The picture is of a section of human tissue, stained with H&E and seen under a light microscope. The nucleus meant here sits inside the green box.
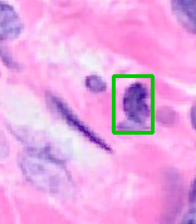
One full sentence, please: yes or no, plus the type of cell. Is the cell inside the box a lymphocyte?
Yes, the cell inside the box has been identified as a lymphocyte.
